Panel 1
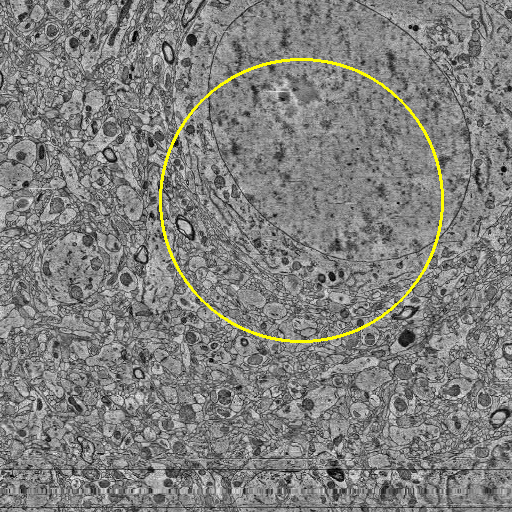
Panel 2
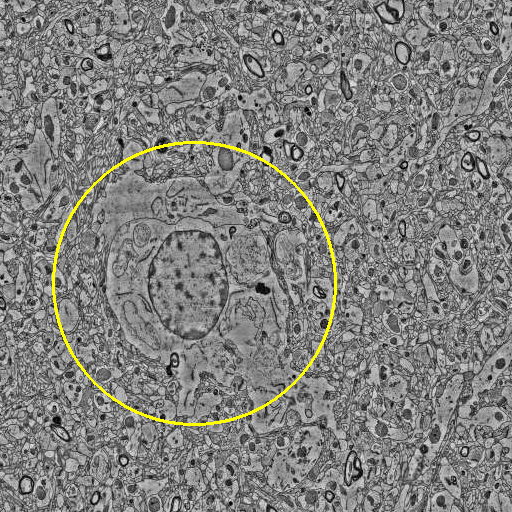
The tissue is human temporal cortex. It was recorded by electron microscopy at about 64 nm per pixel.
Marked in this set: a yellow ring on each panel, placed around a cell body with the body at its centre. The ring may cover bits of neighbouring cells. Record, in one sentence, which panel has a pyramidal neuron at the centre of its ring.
Panel 1 has it at the centre of its ring.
